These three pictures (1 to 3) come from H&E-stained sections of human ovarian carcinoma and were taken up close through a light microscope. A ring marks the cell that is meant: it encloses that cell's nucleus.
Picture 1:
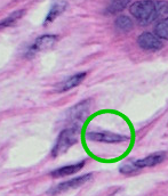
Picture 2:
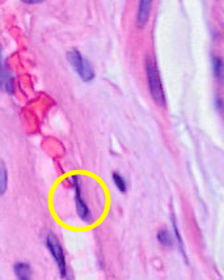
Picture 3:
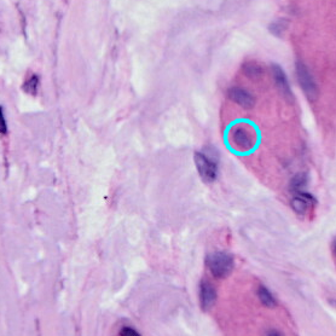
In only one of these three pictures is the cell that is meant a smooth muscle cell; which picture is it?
3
